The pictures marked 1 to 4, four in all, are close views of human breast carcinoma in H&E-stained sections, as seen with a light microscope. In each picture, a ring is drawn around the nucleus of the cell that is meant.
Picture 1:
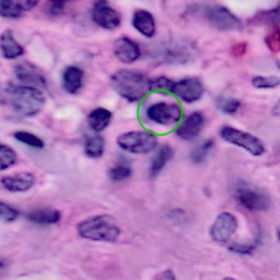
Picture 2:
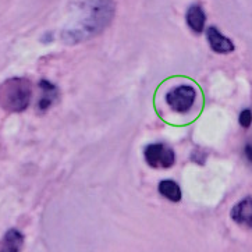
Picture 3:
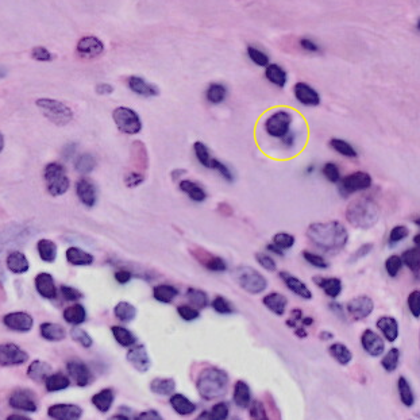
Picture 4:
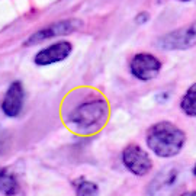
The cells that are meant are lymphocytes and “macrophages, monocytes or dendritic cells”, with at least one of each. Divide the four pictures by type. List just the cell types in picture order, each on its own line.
lymphocyte
lymphocyte
lymphocyte
macrophage, monocyte or dendritic cell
